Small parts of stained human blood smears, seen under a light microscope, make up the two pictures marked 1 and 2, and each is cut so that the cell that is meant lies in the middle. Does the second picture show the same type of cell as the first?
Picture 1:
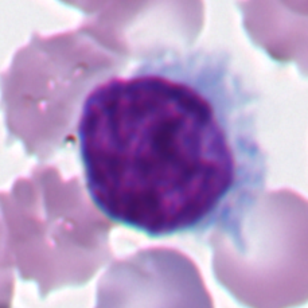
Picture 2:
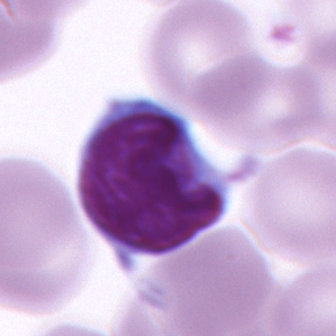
no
